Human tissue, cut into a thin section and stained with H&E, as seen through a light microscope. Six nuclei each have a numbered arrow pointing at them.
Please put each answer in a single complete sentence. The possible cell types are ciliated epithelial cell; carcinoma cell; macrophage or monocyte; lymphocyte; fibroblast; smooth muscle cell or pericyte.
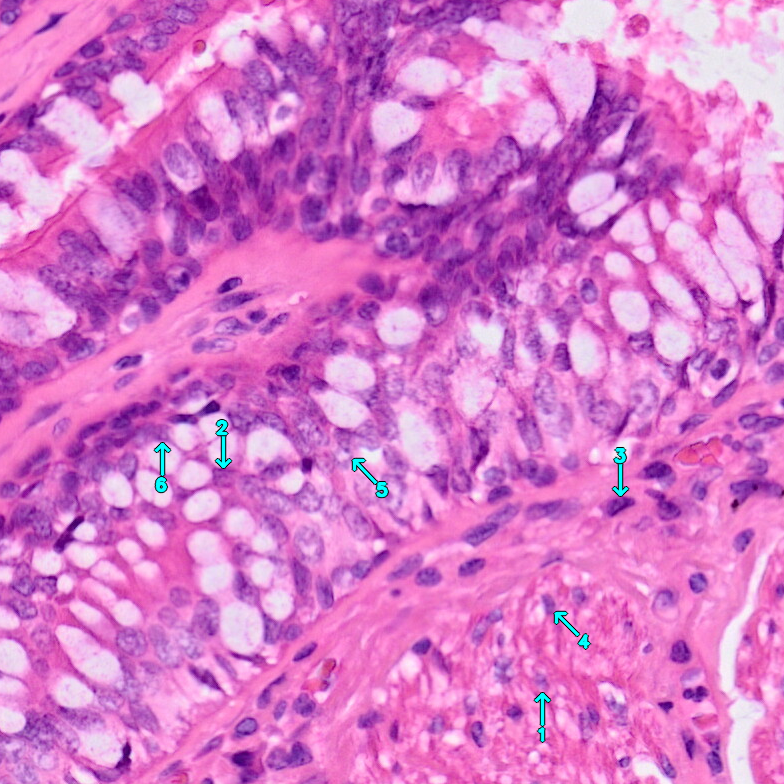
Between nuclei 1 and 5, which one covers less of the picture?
Nucleus 1 covers less area, with nucleus 5 about 4 times as large.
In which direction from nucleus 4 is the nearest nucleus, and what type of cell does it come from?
A smooth muscle cell or pericyte lies closest, to the right of nucleus 4.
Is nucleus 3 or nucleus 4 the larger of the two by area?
Nucleus 3 covers more area, about 1.5 times as much as nucleus 4.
